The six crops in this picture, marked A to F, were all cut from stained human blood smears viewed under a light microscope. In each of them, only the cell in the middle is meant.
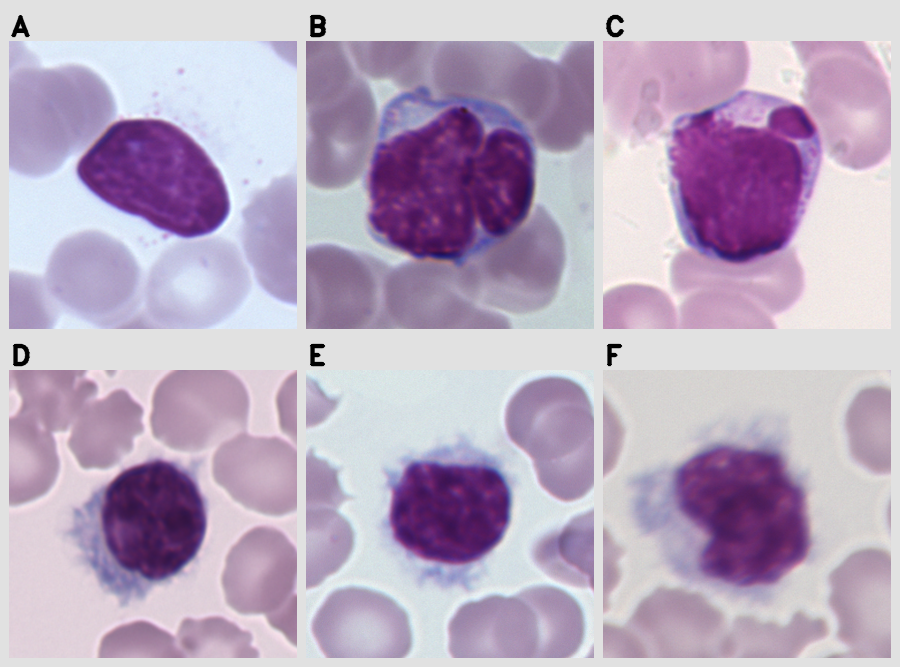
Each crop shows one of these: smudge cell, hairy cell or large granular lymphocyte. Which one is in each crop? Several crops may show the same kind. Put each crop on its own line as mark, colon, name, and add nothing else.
A: smudge cell
B: large granular lymphocyte
C: large granular lymphocyte
D: hairy cell
E: hairy cell
F: hairy cell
